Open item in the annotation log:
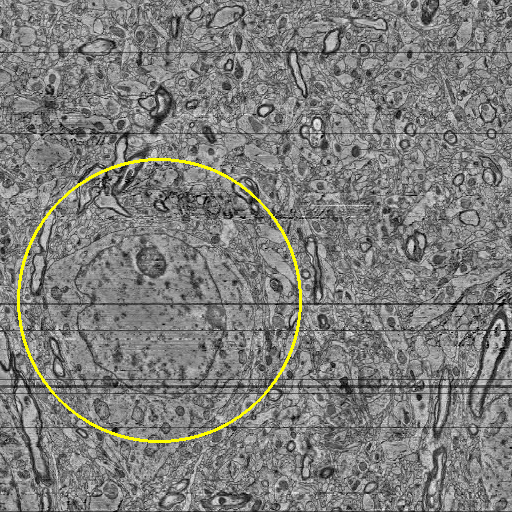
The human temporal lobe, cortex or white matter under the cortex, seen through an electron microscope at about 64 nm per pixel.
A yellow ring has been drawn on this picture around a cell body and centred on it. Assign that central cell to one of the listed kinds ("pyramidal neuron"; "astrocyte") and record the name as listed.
pyramidal neuron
